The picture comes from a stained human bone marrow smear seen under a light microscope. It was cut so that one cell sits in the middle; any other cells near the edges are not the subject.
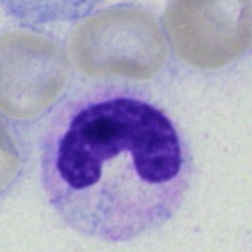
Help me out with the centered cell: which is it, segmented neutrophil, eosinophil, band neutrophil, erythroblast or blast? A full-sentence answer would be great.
The centrally placed cell is classified as a band neutrophil.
